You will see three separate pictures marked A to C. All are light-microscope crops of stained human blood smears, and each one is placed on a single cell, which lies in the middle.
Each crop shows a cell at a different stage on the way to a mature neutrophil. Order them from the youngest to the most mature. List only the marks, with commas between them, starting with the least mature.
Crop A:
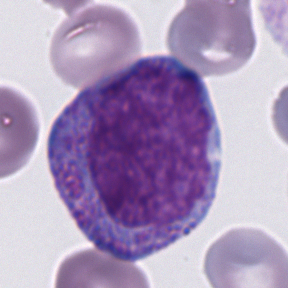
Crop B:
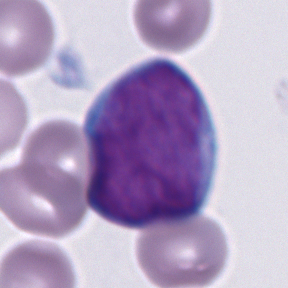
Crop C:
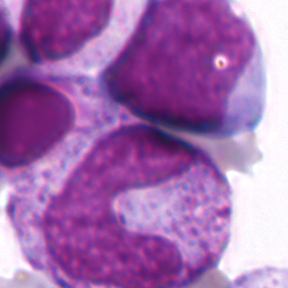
B, A, C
